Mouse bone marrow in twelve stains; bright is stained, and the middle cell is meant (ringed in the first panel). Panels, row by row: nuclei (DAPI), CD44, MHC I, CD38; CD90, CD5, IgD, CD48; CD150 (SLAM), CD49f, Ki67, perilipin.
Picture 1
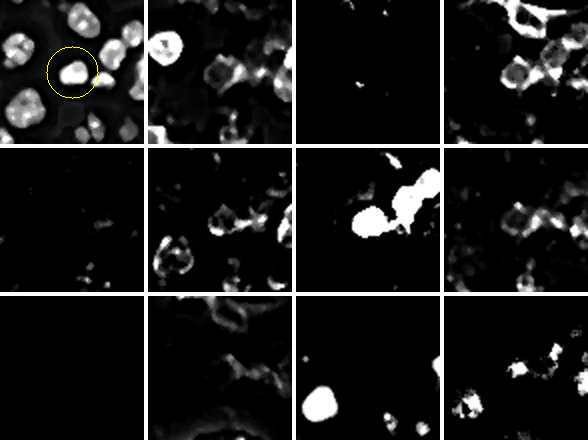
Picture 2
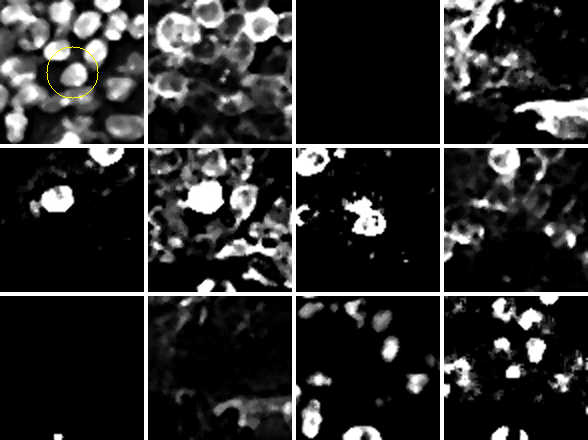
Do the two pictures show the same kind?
Yes, both are B cells.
